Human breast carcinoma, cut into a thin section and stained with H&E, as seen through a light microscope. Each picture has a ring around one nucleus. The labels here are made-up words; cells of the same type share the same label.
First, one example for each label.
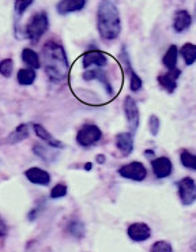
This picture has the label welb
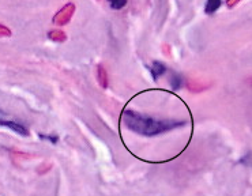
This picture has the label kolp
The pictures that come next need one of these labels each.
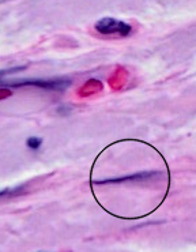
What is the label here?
kolp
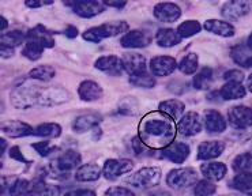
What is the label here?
welb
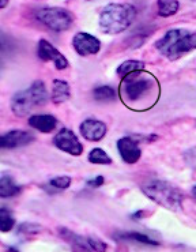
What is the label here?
welb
